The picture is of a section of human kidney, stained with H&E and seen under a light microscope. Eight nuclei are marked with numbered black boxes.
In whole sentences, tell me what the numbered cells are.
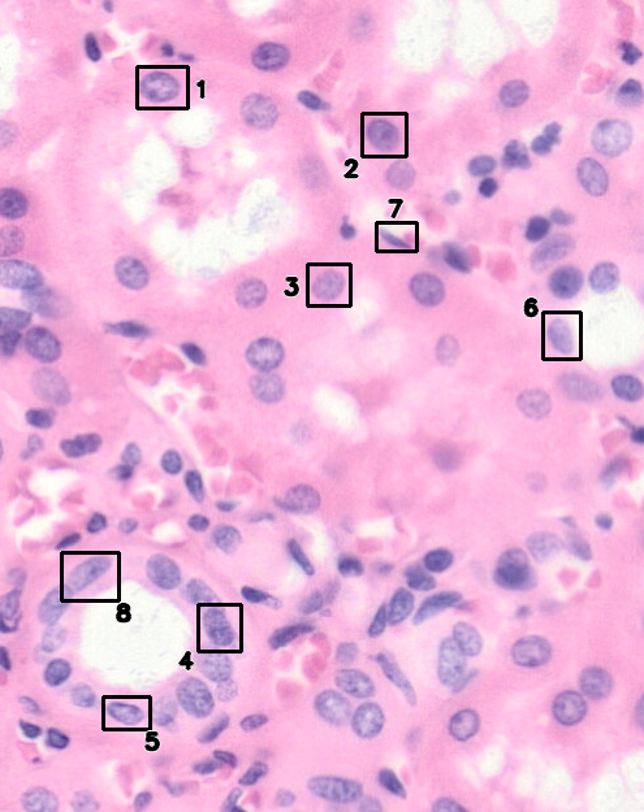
Cells 1, 2 and 3 are proximal tubule cells. Cells 4, 5, 6 and 8 are collecting duct cells. Cell 7 is an endothelial cell.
